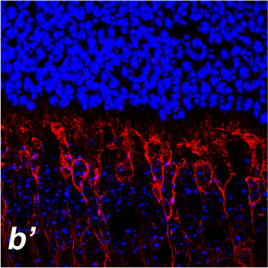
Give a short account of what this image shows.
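A section of outer retina shows rod bipolar cells in red below the outer nuclear layer. The top is filled with densely crowded, round blue nuclei. Beneath them a narrow band, the outer plexiform layer, contains fine red branching dendrites that end just under the nuclear sheet. These dendrites arise from red-outlined, rounded cell bodies lying in the layer below, among scattered blue nuclei. From each cell body a thin red process descends vertically, so that the cells stand in a row like upright stalks, with their branching tufts at the top.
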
